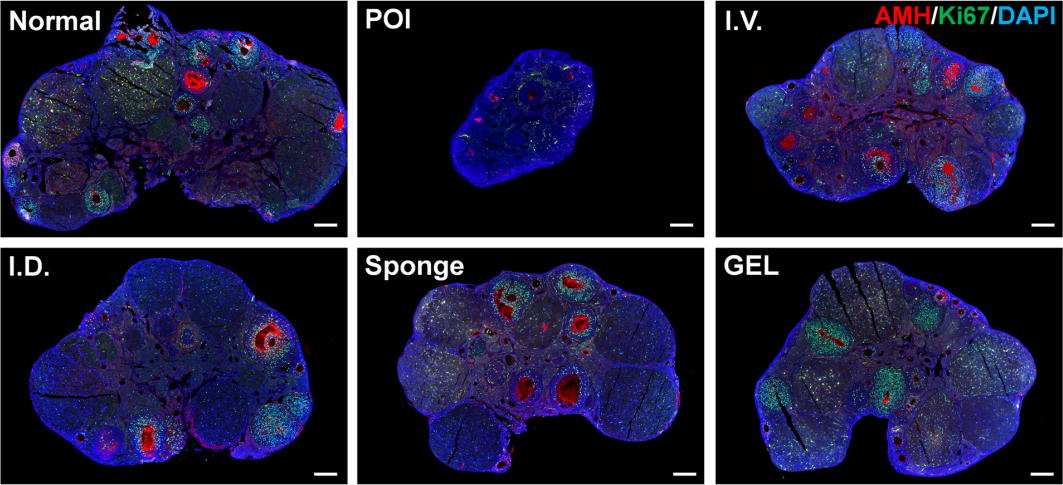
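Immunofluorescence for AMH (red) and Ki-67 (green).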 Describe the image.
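Many granulosa cells in the larger follicles carry green nuclei, and red staining sits in the granulosa layers of some smaller and mid-sized follicles. One section is much smaller than the others and holds only a few small follicles.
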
